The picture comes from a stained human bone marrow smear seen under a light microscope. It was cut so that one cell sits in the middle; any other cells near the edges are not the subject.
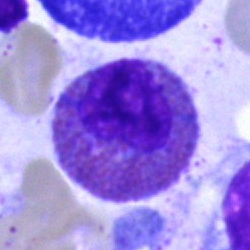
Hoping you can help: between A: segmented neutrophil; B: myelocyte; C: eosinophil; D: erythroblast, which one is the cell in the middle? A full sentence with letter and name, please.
Occupying the middle of the crop is an eosinophil, hence option C is correct.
